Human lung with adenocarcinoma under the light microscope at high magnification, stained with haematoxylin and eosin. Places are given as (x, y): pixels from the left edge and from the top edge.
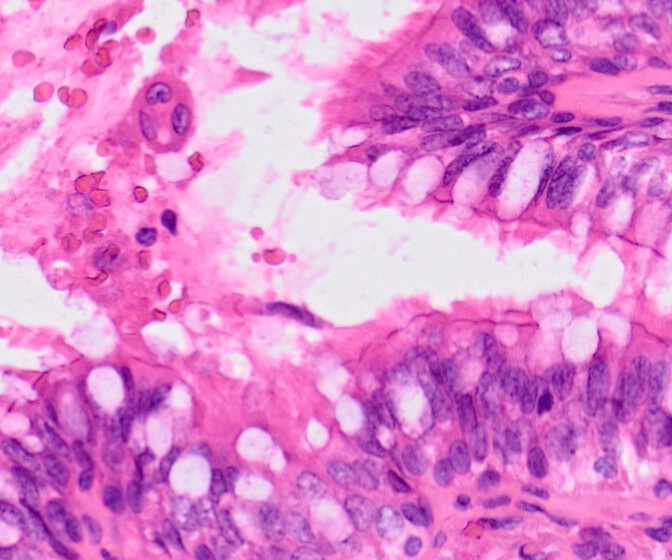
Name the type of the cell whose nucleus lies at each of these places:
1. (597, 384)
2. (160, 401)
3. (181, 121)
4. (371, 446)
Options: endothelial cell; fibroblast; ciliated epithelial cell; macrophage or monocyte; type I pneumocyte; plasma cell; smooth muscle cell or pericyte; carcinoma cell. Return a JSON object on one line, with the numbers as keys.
{"1": "ciliated epithelial cell", "2": "ciliated epithelial cell", "3": "macrophage or monocyte", "4": "ciliated epithelial cell"}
